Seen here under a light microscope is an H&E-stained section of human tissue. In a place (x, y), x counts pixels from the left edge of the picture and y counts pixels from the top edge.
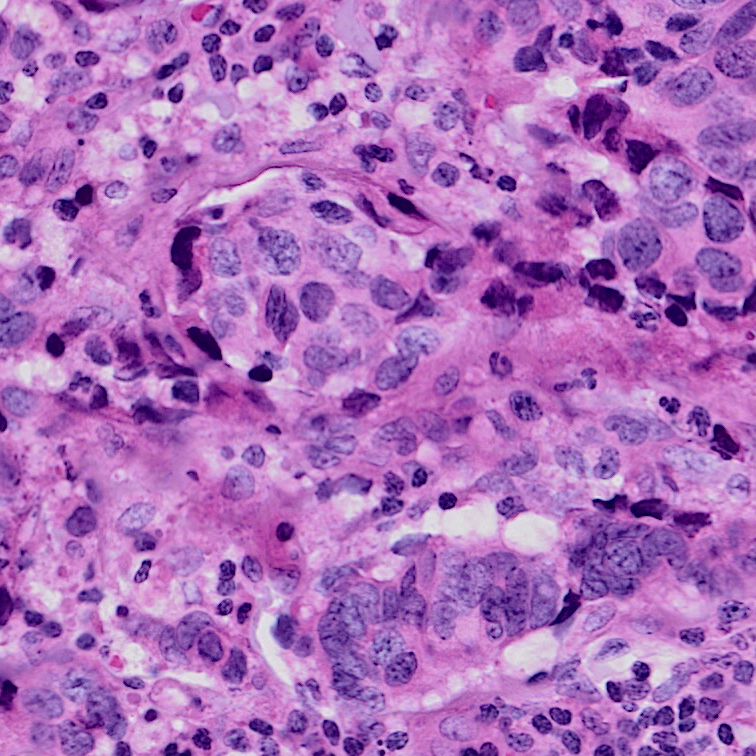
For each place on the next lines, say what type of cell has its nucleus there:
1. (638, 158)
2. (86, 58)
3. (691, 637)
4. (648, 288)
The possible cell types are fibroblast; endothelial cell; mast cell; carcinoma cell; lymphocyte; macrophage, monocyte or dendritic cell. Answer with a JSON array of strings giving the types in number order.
["carcinoma cell", "lymphocyte", "lymphocyte", "carcinoma cell"]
